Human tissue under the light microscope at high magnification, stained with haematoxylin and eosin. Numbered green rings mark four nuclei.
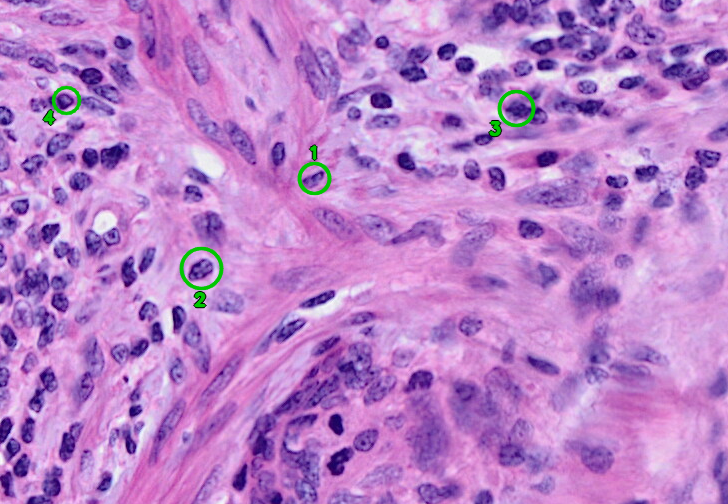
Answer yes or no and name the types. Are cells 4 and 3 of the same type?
Yes, by cell type, cells 4 and 3 are both lymphocytes.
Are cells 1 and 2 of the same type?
No, cell 1 is a smooth muscle cell, and cell 2, in contrast, is a lymphocyte.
